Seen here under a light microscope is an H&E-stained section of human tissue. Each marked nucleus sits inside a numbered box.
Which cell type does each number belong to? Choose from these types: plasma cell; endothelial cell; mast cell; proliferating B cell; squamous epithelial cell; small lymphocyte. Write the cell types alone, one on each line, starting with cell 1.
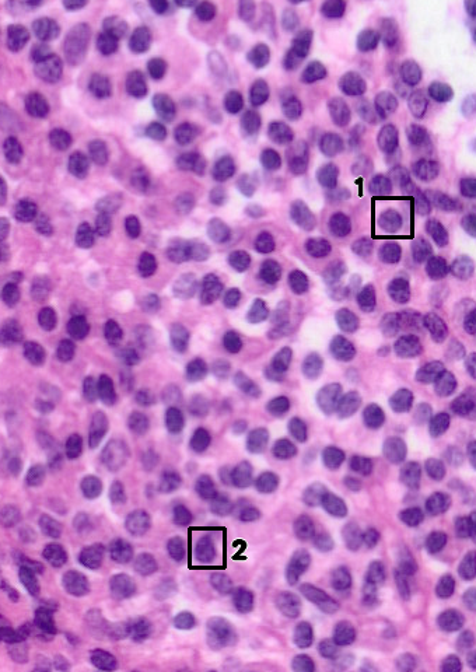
small lymphocyte
plasma cell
